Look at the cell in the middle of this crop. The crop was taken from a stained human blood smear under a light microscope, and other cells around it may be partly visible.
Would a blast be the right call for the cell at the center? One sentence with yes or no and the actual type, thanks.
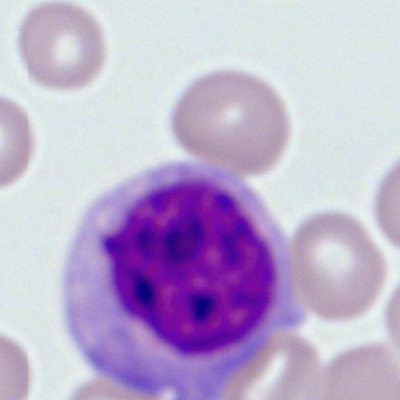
No, the cell at the centre of the crop corresponds to a monocyte, not a blast.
